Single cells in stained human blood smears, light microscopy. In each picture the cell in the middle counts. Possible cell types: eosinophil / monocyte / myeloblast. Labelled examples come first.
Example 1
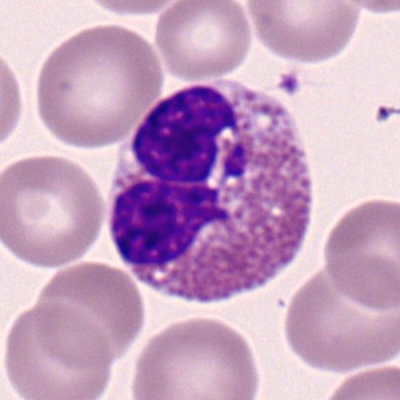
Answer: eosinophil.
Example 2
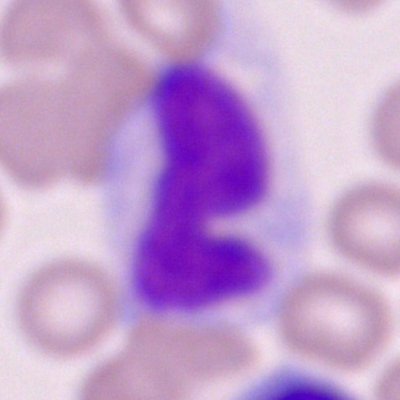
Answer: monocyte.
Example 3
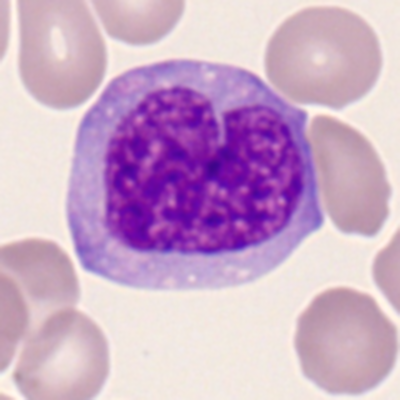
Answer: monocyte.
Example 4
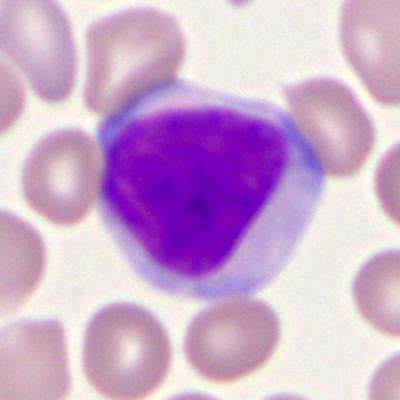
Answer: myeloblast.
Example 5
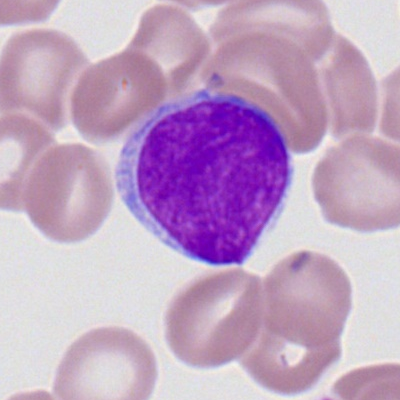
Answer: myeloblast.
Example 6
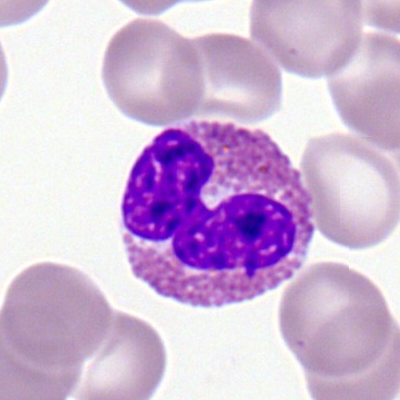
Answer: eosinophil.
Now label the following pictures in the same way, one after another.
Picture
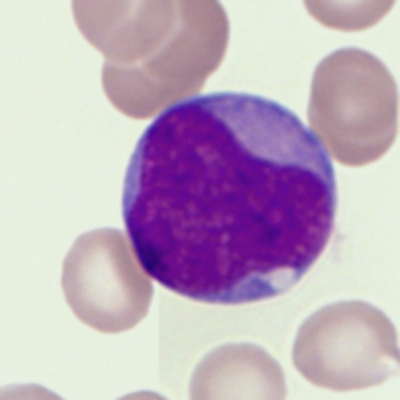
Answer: myeloblast.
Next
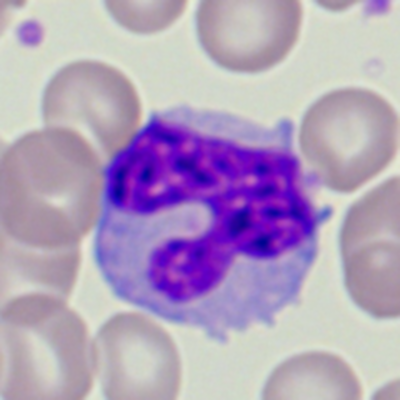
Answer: monocyte.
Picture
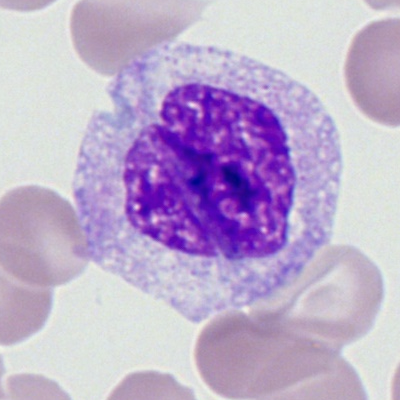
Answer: monocyte.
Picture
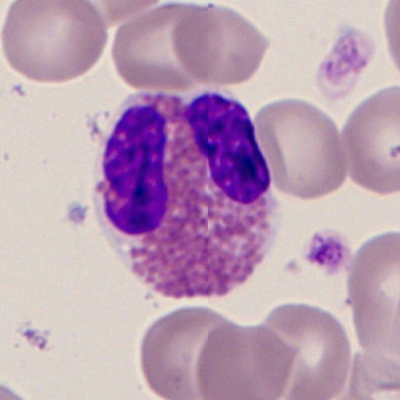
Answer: eosinophil.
